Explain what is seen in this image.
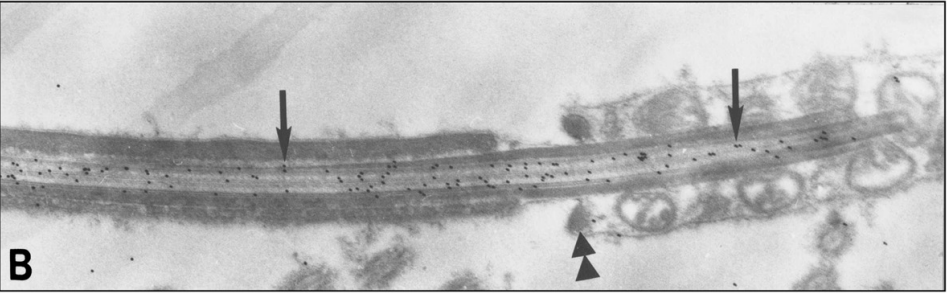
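A longitudinal section of a sperm tail at the transition between two regions. To the right, the tail is flanked by rows of rounded mitochondria with cristae; to the left, the mitochondria stop and the tail is enclosed by a denser, smooth sheath. At the junction a small dense knob marks the ring that separates the regions. Running the whole length in the core are fine parallel microtubular filaments, densely studded with black gold dots, while the ring-like knob and the surrounding sheath carry few or none.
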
